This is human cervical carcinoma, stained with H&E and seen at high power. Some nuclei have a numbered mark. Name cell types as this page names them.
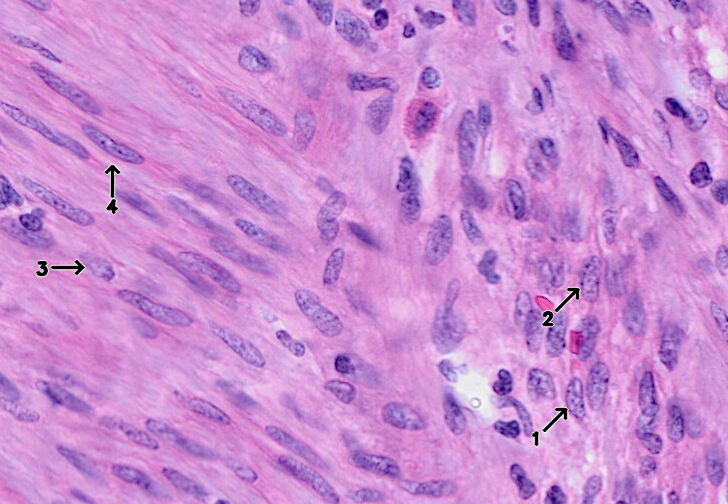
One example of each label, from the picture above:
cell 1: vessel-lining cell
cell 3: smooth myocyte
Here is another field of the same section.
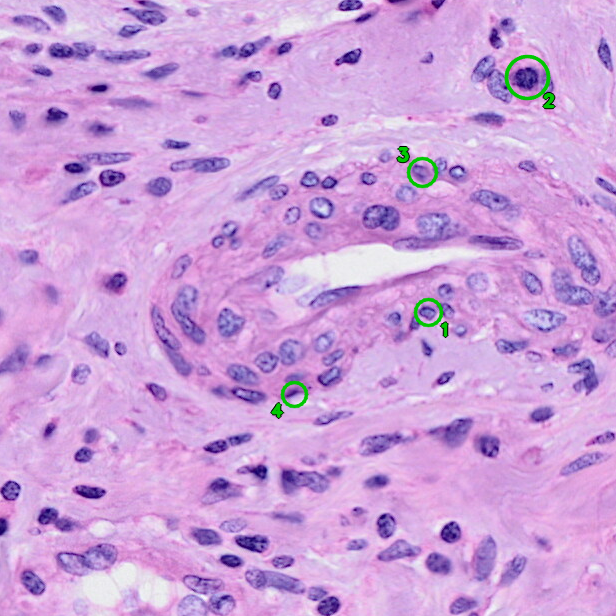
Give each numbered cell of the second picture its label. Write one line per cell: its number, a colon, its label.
1: smooth myocyte
2: vessel-lining cell
3: smooth myocyte
4: smooth myocyte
